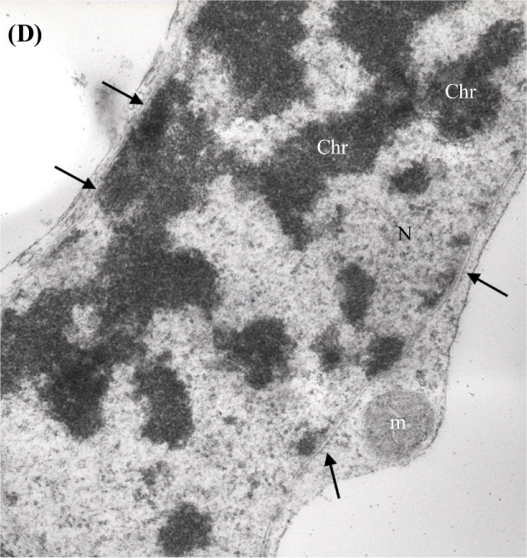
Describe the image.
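Within the nucleus, large irregular blocks of dense, dark chromatin are scattered through a paler, finely granular nucleoplasm, several of them lying against the envelope. A rounded mitochondrion sits in the narrow rim of cytoplasm just outside the nucleus.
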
